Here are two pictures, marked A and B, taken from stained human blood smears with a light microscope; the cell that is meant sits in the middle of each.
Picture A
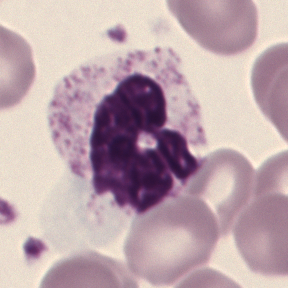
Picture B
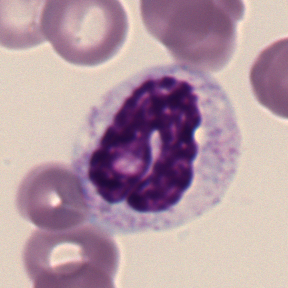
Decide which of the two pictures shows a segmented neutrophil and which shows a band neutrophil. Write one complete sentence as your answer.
In picture A the cell is a segmented neutrophil; in picture B, a band neutrophil.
